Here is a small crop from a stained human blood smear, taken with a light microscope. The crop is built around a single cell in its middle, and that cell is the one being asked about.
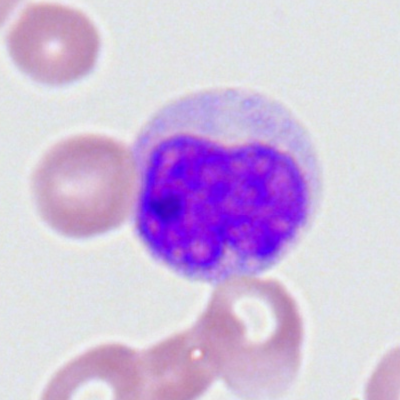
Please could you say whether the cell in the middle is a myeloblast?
no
